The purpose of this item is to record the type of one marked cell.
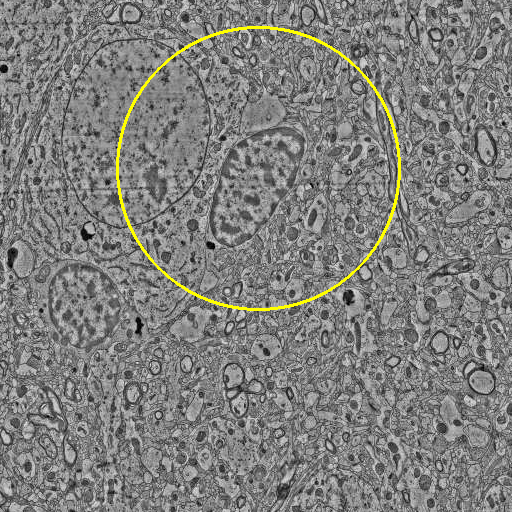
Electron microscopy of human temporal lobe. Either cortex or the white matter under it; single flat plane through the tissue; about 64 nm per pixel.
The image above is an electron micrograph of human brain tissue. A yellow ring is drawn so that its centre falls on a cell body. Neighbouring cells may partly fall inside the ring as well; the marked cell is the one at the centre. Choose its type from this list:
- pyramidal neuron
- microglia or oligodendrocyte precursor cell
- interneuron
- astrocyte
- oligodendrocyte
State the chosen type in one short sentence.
What the ring marks here is a microglial cell or oligodendrocyte precursor cell.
